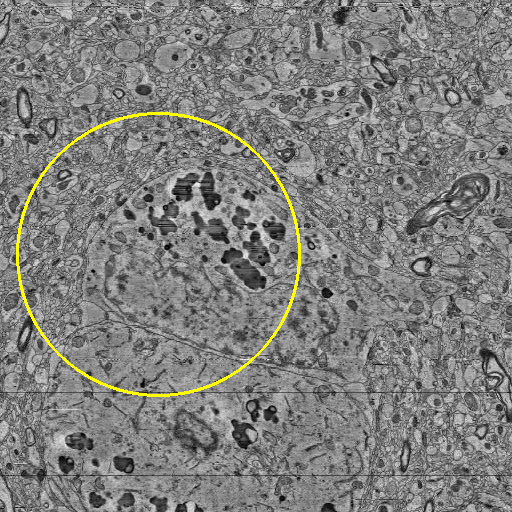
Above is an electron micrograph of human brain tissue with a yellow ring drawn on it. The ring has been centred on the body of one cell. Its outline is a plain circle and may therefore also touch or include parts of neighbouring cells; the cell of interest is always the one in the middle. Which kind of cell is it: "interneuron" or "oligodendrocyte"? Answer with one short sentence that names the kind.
The ring's central cell body is that of an interneuron.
